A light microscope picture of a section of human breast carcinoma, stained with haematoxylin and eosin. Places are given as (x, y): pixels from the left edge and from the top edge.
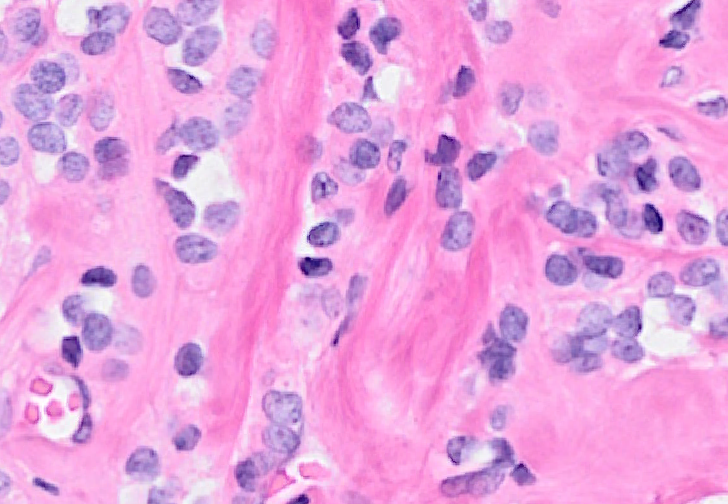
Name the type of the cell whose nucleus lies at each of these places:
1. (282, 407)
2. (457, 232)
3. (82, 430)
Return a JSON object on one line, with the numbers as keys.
{"1": "carcinoma cell", "2": "carcinoma cell", "3": "endothelial cell"}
